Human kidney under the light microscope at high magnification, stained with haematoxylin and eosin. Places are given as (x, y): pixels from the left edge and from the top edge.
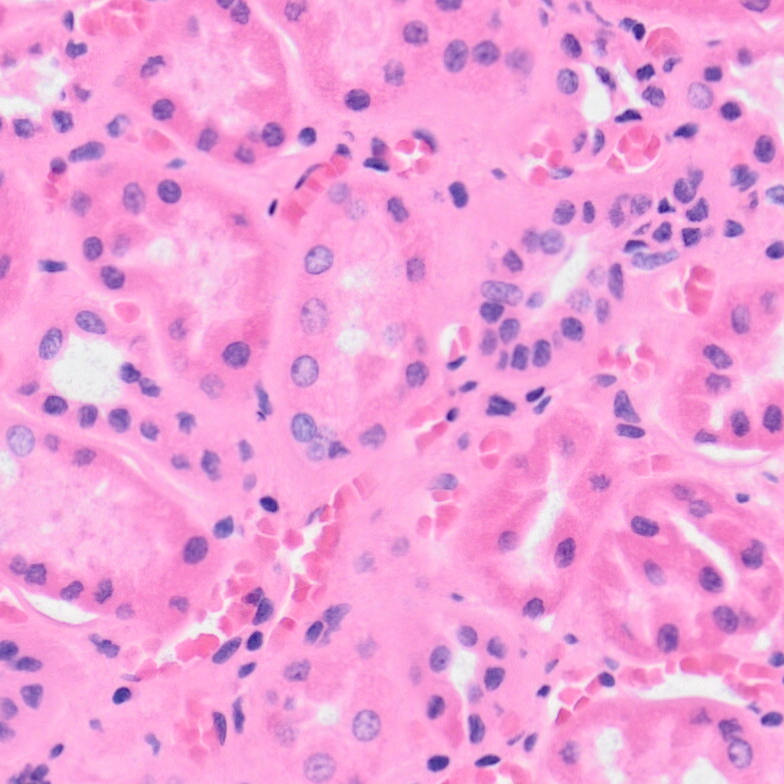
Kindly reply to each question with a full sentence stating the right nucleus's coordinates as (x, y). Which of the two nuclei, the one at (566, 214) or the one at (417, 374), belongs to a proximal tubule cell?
Located at (417, 374), this nucleus is the one belonging to a proximal tubule cell.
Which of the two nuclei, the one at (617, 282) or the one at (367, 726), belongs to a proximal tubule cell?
The correct choice is the nucleus at (367, 726), which belongs to a proximal tubule cell.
